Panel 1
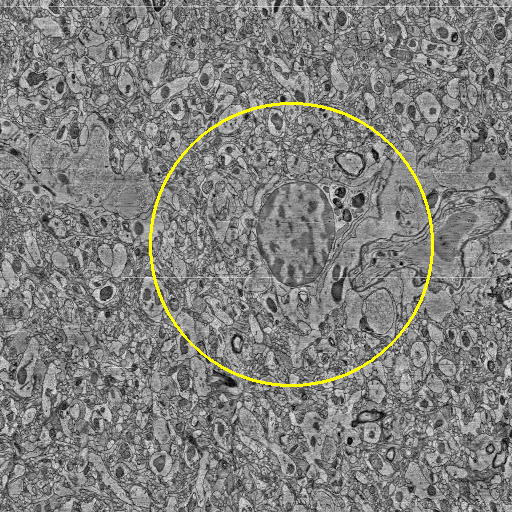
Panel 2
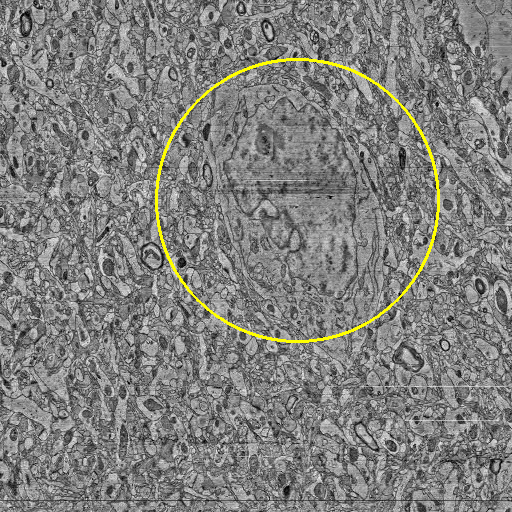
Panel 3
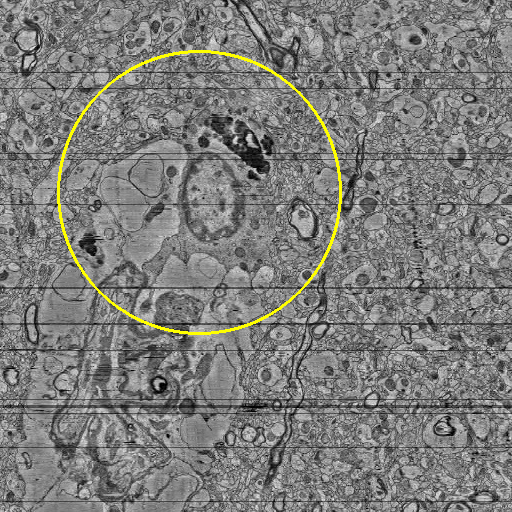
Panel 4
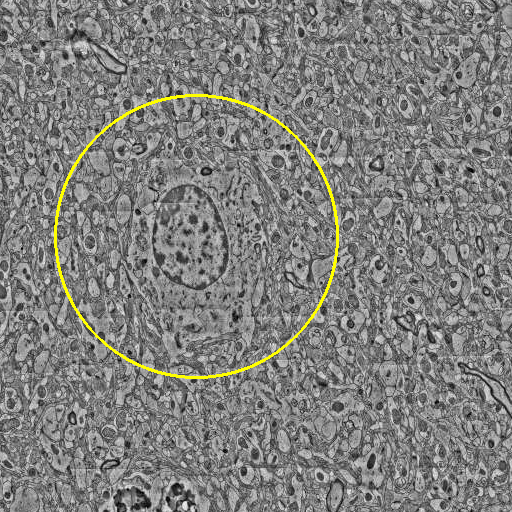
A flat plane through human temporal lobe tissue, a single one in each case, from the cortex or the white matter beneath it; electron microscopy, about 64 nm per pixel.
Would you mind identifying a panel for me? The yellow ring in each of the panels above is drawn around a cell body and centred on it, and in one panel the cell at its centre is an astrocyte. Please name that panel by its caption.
Panel 4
